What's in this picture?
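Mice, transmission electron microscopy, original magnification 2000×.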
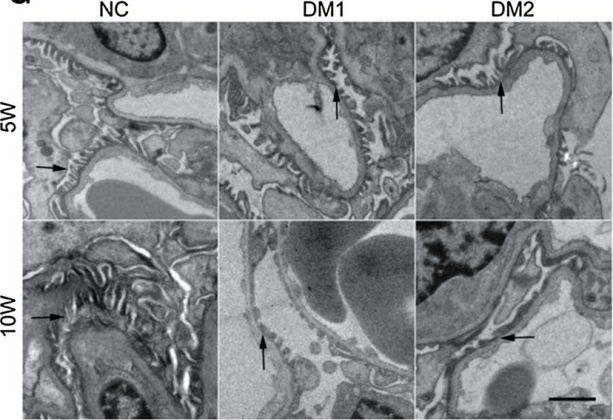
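Six grey-scale electron micrographs of glomerular capillary walls. Pale capillary lumens, some holding a dense red blood cell, are lined by a thin dark basement membrane. On its outer side, in some images, many small evenly spaced projections stand side by side like a comb, separated by narrow slits; in others this outer layer looks flatter and more continuous, with few separate projections. Arrows point to these projections. They are the interdigitating foot processes of podocytes resting on the glomerular basement membrane.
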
